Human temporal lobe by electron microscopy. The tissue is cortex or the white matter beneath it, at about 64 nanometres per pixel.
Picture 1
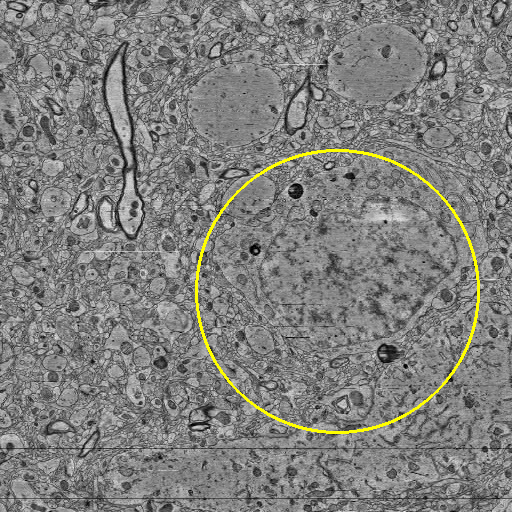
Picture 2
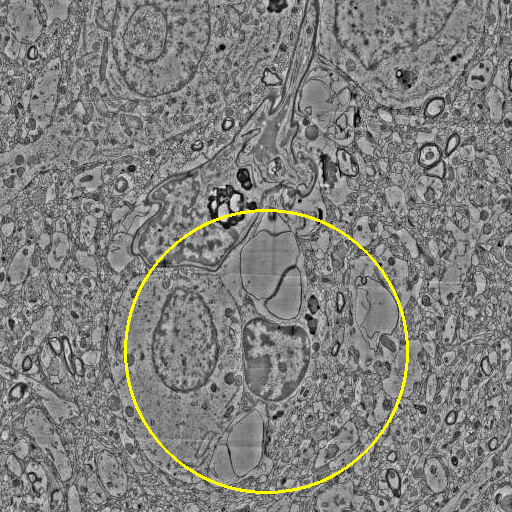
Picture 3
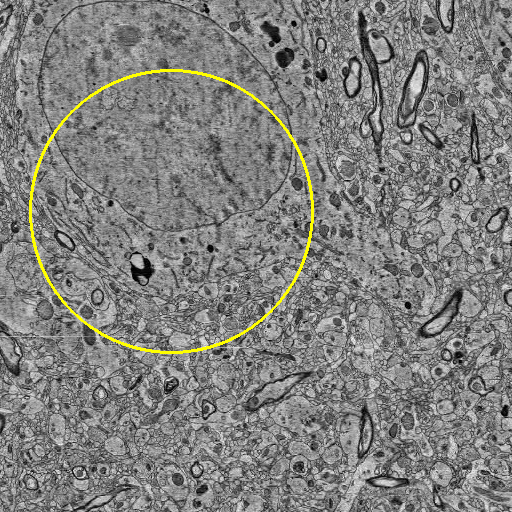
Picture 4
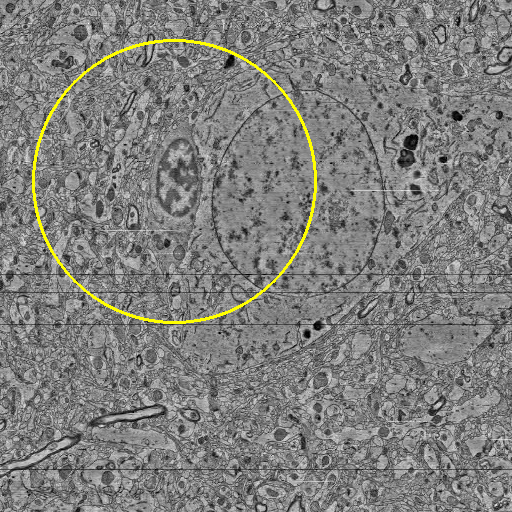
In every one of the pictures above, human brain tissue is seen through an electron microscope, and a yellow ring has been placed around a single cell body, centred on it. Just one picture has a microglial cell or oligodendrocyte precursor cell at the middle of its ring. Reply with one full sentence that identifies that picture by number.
It is picture 2 that shows the wanted cell at its ring's centre.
